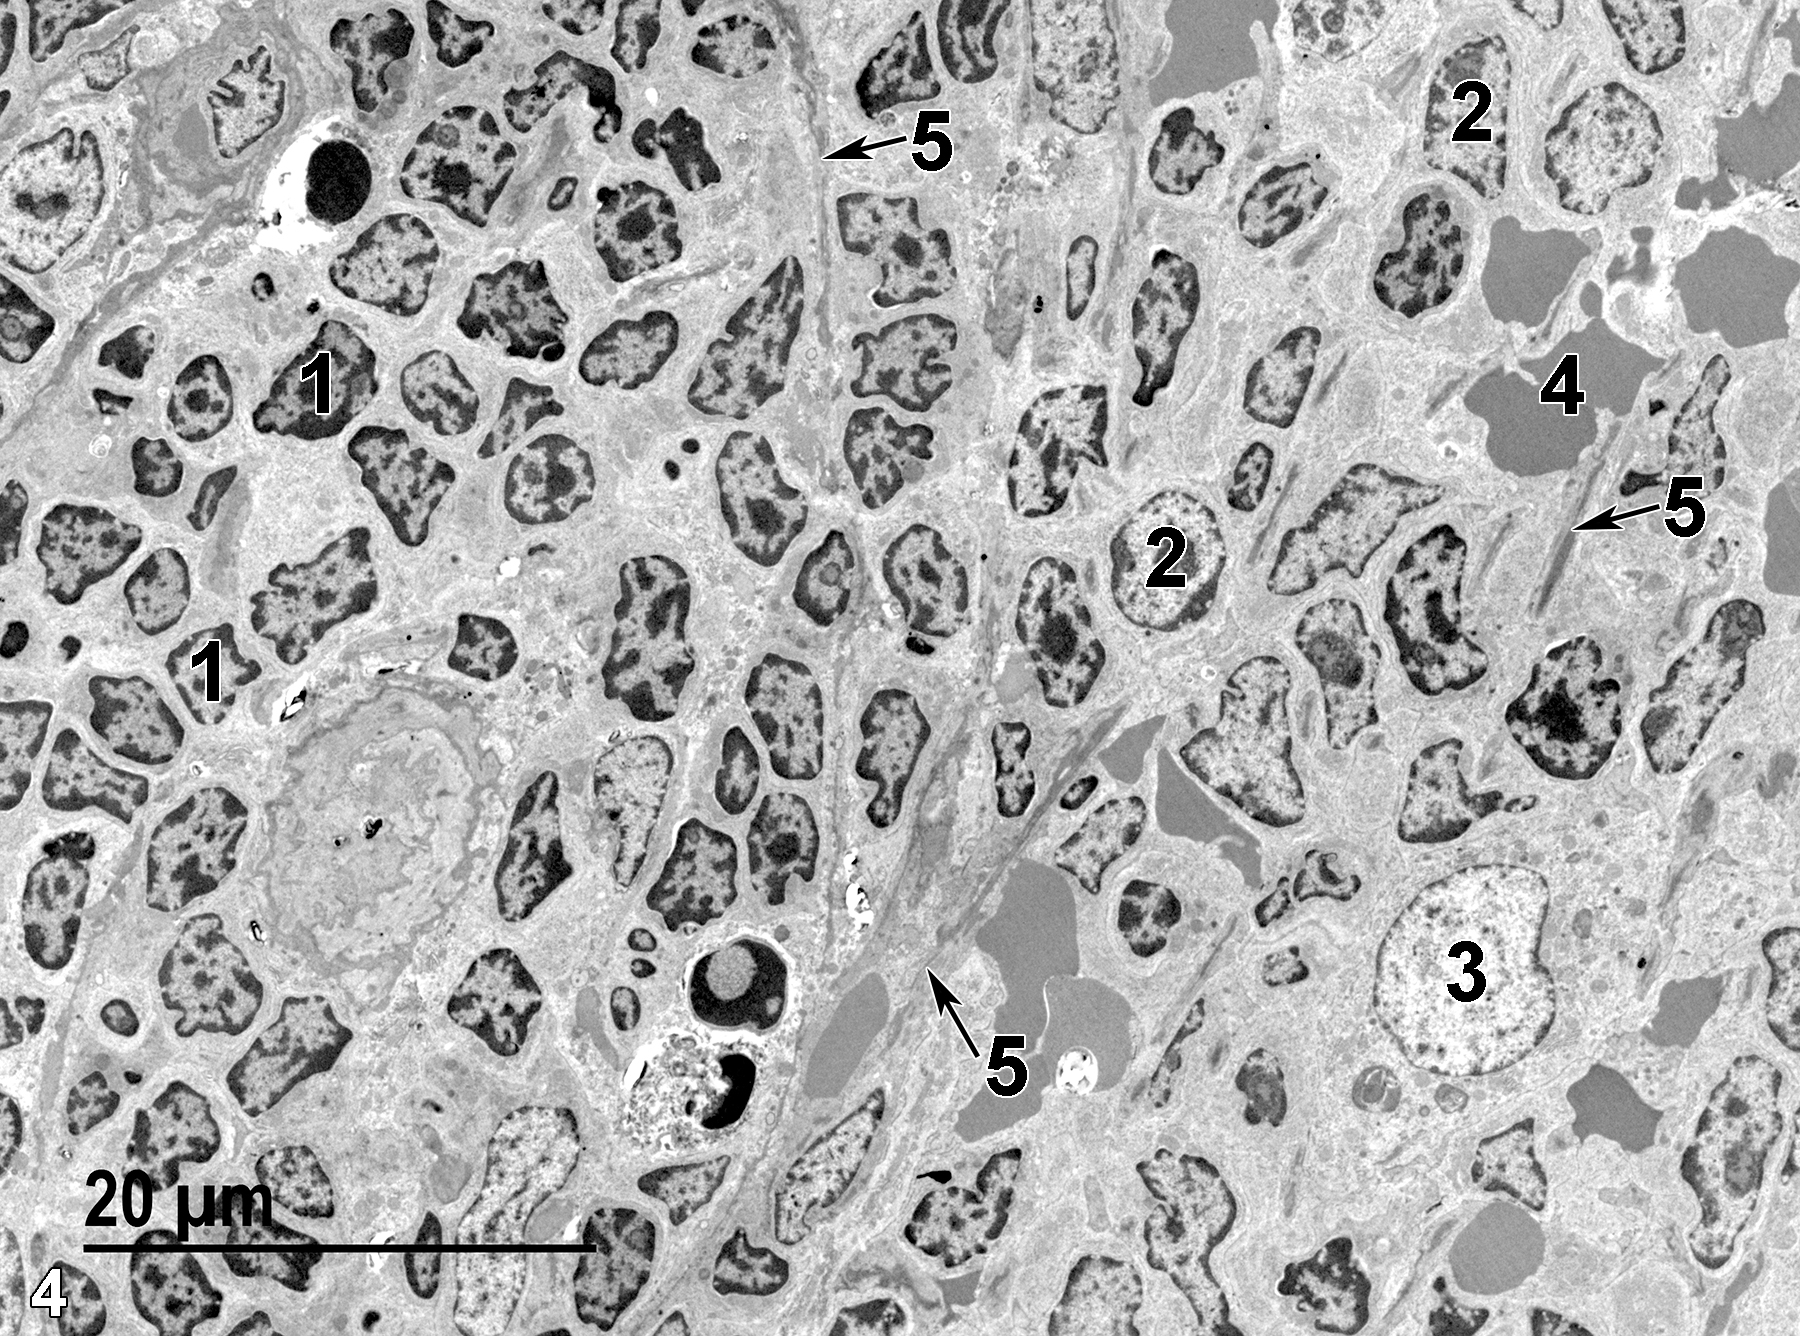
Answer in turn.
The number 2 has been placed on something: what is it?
Medium-sized lymphocytes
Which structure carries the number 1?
Small lymphocytes.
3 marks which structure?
Large lymphocyte.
